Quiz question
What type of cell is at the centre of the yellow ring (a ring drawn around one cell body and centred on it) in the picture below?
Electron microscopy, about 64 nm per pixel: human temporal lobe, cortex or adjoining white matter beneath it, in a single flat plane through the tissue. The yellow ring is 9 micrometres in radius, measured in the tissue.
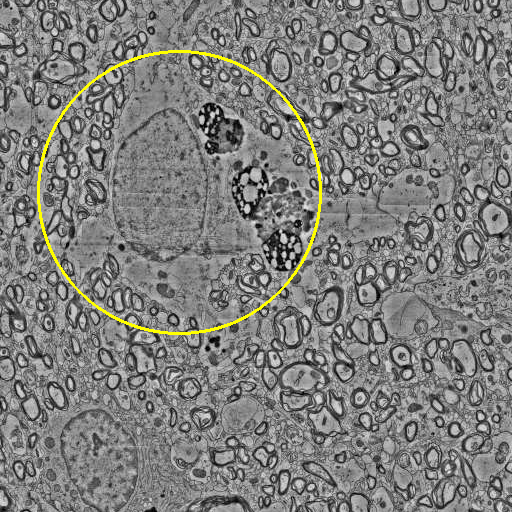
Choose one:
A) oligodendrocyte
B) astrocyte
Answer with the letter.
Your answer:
B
